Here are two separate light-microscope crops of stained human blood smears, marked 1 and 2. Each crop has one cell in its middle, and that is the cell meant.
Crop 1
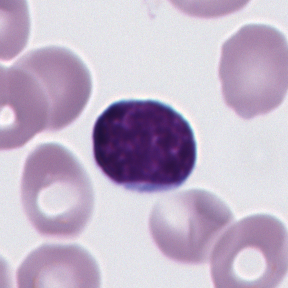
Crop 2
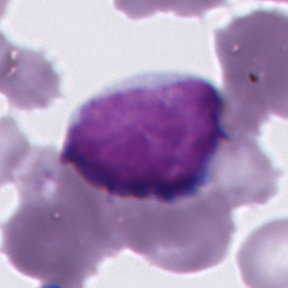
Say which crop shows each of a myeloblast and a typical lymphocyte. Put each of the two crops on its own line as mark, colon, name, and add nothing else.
1: typical lymphocyte
2: myeloblast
